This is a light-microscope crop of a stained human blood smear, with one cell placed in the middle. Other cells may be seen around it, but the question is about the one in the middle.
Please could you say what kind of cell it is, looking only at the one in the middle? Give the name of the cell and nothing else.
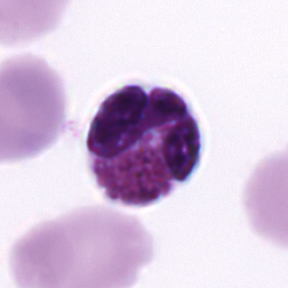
eosinophil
